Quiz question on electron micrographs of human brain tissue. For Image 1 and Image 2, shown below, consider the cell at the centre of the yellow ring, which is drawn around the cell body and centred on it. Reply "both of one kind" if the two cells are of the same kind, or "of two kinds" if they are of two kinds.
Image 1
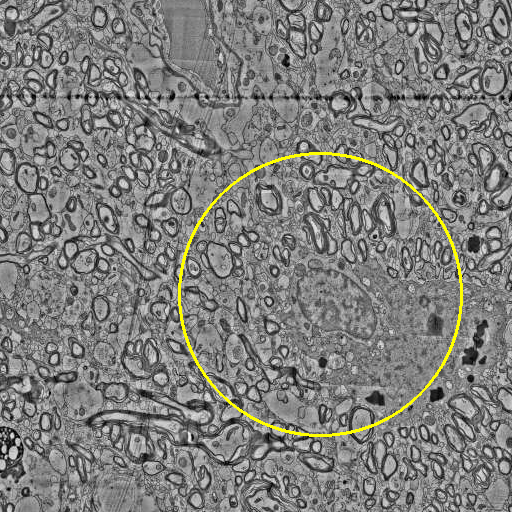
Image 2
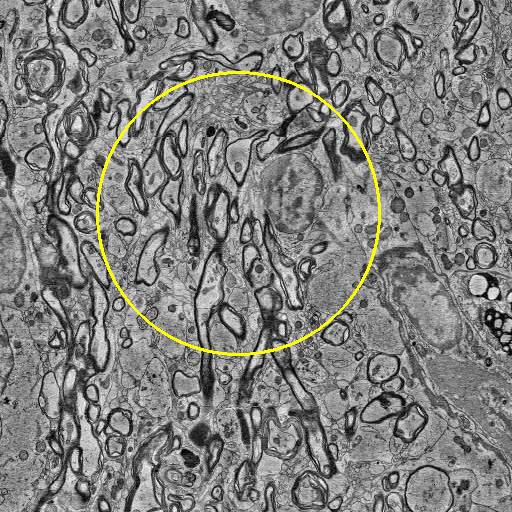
of two kinds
